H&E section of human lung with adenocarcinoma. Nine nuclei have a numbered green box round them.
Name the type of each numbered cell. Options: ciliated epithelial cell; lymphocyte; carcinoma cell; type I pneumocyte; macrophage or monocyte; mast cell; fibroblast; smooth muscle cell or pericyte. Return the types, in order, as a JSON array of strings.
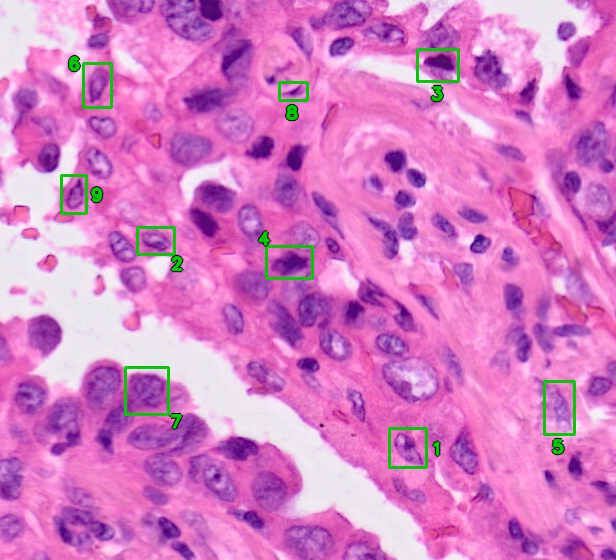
["macrophage or monocyte", "macrophage or monocyte", "carcinoma cell", "carcinoma cell", "fibroblast", "macrophage or monocyte", "carcinoma cell", "fibroblast", "macrophage or monocyte"]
